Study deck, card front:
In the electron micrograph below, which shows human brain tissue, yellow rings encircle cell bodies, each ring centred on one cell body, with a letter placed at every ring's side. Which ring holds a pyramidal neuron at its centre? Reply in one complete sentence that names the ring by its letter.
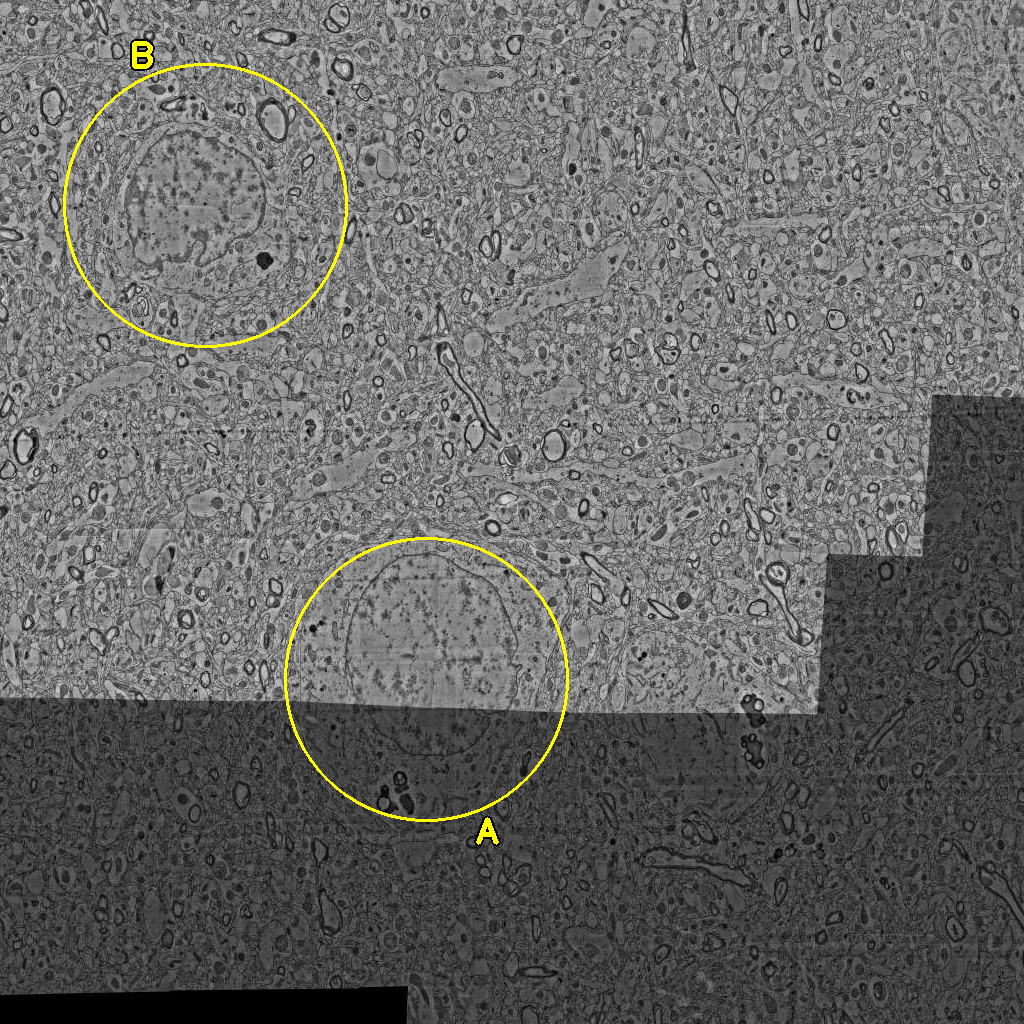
The cell asked for sits at the centre of ring A in the picture.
